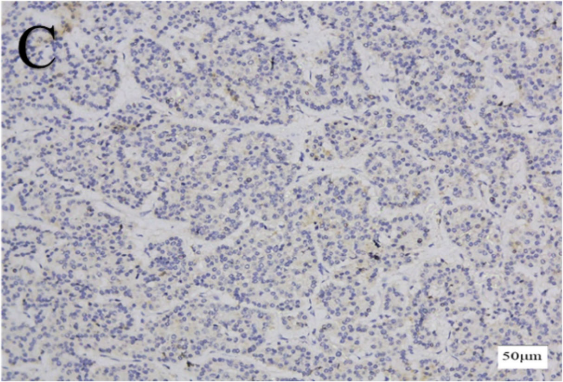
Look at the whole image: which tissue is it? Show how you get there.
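Tumor tissues. Uniform cells are packed in rounded nests and trabeculae. Thin pale septa separate the nests. Nuclei are round and fairly uniform.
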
